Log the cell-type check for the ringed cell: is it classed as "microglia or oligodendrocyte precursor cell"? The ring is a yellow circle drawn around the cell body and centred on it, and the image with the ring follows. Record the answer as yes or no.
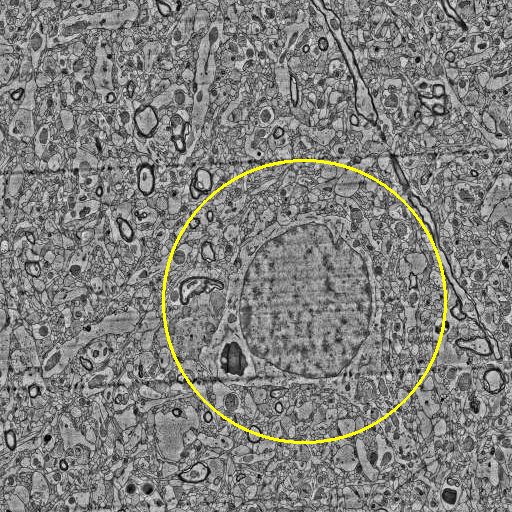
No, it is classed as another type.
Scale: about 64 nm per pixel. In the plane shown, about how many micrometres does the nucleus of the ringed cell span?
Roughly 10 by 8 micrometres in this plane, for the nucleus of the ringed cell.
